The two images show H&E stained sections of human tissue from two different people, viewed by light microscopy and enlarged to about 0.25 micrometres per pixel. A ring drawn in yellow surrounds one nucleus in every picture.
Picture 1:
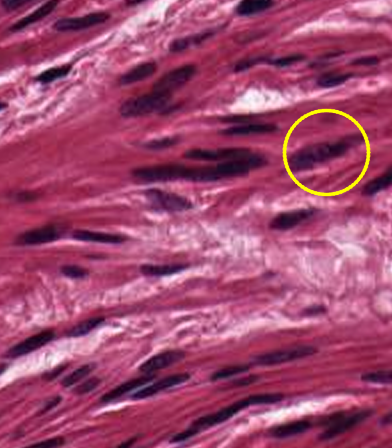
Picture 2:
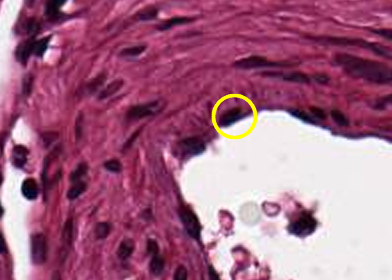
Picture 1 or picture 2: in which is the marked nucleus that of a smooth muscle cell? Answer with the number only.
1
